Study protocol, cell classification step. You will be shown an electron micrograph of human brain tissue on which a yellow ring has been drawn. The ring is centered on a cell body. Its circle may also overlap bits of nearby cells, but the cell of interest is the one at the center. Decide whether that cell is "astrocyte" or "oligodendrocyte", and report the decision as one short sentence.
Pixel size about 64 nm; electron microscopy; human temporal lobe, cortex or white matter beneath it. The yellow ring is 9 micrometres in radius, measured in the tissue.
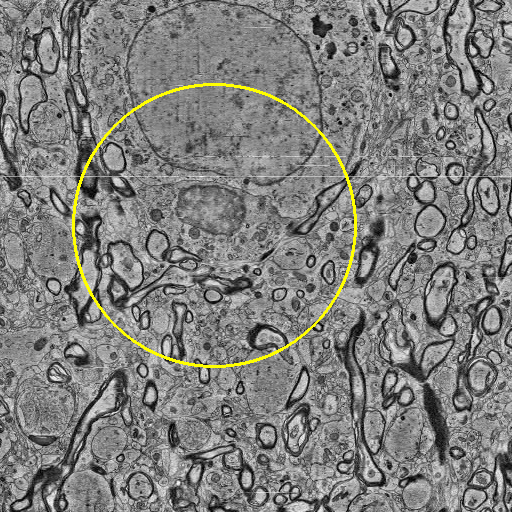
The marked cell is an oligodendrocyte.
